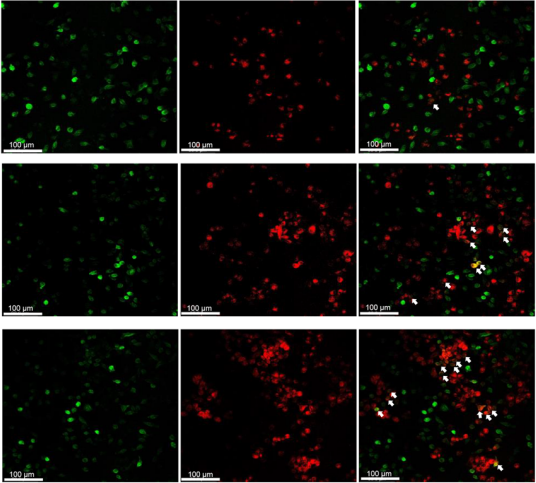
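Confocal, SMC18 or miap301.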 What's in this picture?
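The cells are small and rounded, and the green ones are mostly spread singly across the dark field. In the lower rows the red cells often gather into clumps.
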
